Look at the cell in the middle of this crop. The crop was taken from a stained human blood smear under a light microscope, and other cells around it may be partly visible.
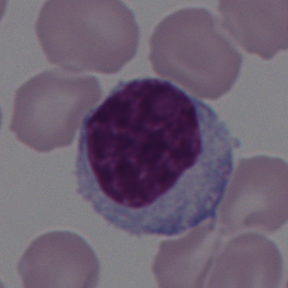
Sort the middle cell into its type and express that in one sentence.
In short, the cell at the center is a lymphocyte.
